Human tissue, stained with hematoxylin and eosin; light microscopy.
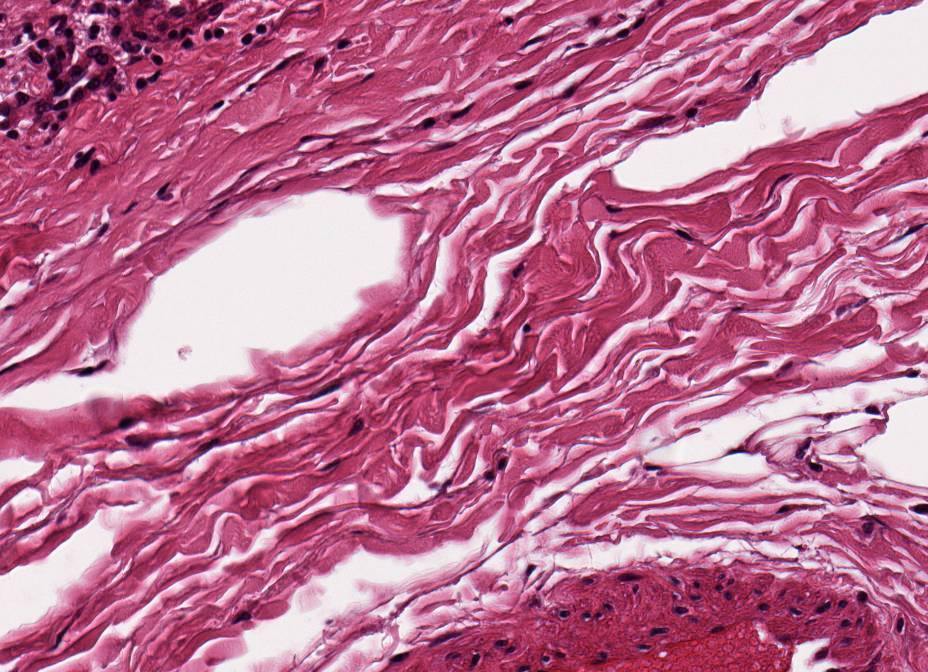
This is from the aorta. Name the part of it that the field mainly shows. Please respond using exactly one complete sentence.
This section of human tissue shows the part called tunica adventitia.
